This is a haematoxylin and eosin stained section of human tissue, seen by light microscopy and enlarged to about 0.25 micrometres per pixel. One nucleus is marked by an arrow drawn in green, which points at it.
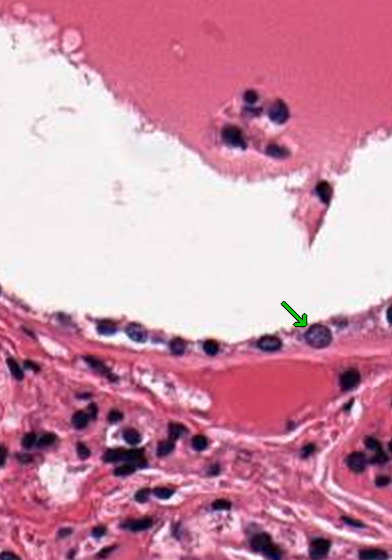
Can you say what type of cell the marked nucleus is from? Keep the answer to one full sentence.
The marked nucleus is found in a thyroid follicular cell.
